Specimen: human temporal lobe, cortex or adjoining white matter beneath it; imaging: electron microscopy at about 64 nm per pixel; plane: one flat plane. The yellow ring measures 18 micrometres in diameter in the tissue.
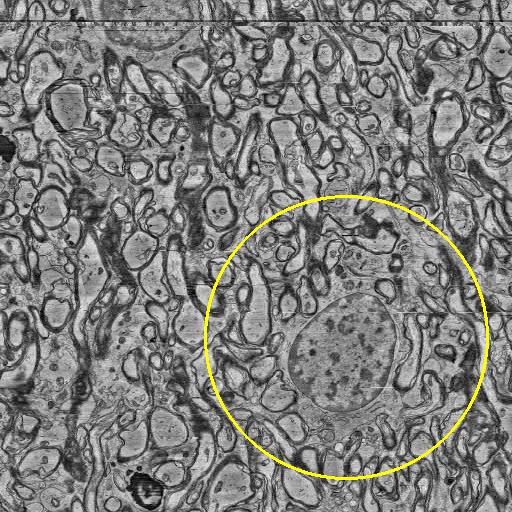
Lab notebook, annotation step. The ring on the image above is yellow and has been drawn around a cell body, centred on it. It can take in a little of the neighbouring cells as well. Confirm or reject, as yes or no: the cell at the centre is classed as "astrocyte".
No, the cell is of another class.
